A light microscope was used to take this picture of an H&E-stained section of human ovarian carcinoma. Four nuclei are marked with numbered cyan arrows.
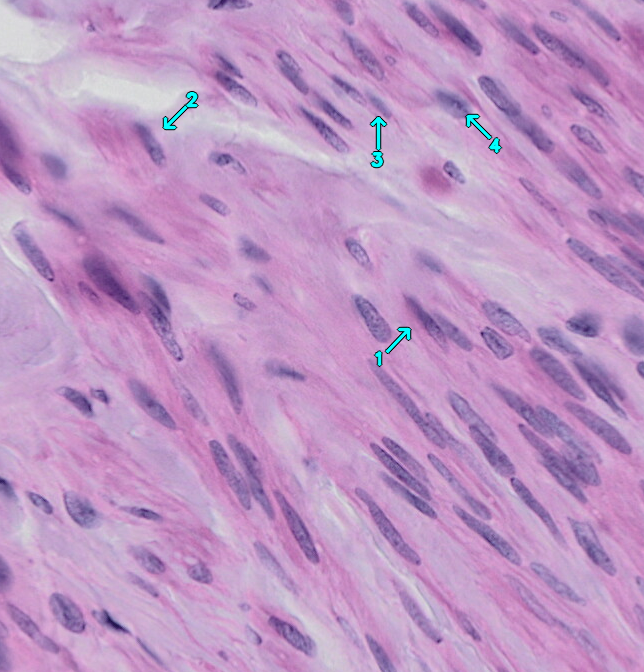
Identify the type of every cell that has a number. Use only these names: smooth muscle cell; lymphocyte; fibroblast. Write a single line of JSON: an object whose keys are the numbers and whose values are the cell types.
{"1": "smooth muscle cell", "2": "smooth muscle cell", "3": "smooth muscle cell", "4": "fibroblast"}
